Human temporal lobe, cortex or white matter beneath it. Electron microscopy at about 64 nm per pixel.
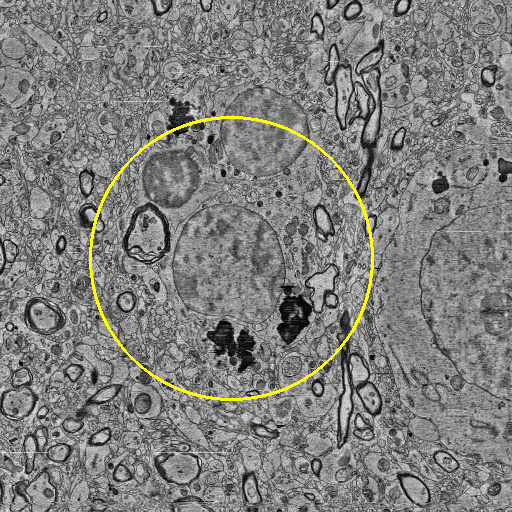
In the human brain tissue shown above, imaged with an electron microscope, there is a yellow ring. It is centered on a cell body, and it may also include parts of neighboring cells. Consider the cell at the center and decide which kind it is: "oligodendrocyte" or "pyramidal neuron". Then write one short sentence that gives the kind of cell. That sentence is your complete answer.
This centered cell body is that of an oligodendrocyte.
